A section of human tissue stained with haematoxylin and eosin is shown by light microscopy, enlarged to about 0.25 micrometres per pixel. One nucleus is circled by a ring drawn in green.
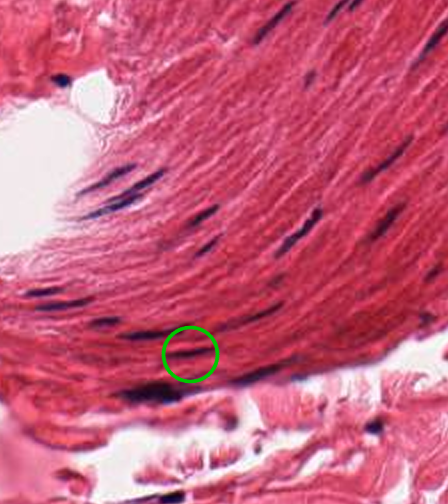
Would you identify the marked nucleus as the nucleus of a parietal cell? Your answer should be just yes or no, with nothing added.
no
